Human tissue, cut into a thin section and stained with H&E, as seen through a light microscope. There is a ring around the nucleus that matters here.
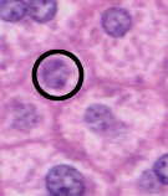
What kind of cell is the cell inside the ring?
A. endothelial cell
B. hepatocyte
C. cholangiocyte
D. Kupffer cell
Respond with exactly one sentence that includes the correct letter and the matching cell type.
Under option B, the cell inside the ring is listed as a hepatocyte, which is correct.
